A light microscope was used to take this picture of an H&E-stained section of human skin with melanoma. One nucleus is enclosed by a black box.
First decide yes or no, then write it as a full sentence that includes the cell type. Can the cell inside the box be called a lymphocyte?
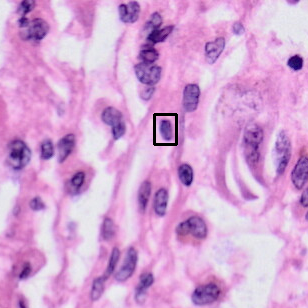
Yes, calling the cell inside the box a lymphocyte is correct.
